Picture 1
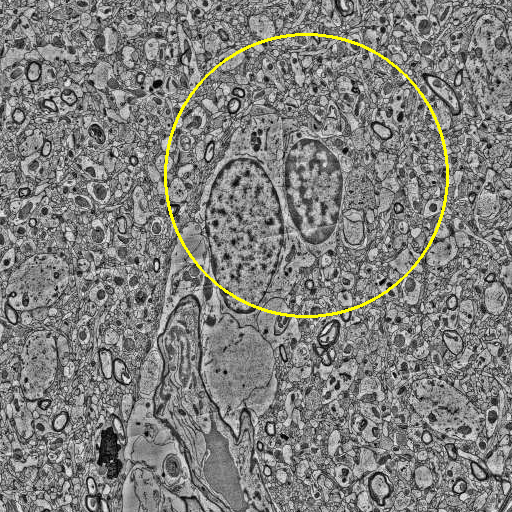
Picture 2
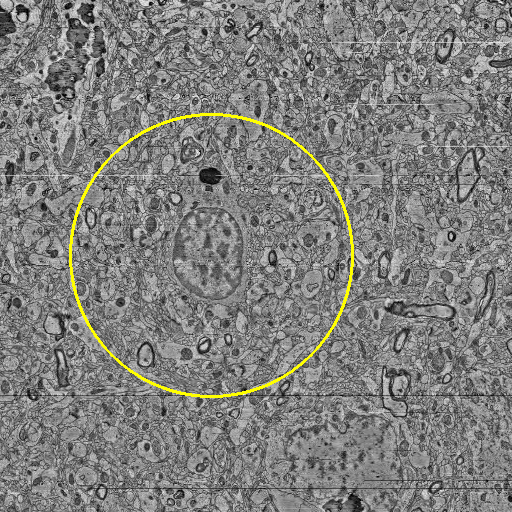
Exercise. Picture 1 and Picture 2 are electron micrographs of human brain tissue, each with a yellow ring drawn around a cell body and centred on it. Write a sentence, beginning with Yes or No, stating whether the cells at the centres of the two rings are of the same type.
No, the cells at the centres of the rings are of two types.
